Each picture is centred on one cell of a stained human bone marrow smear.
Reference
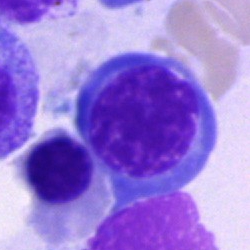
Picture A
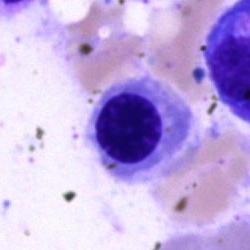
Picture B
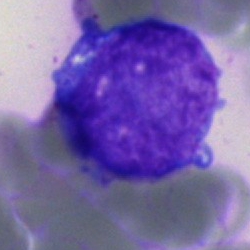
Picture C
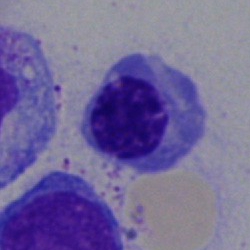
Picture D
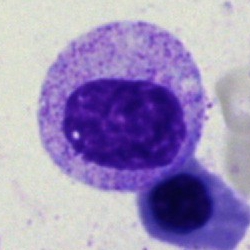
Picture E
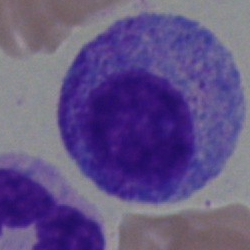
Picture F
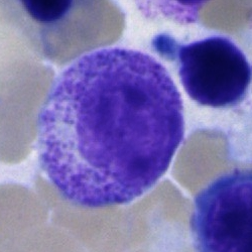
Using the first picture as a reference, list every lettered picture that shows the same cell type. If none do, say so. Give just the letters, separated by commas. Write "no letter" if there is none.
A, C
